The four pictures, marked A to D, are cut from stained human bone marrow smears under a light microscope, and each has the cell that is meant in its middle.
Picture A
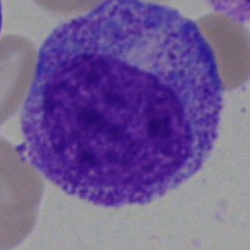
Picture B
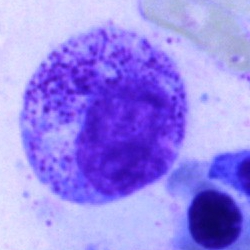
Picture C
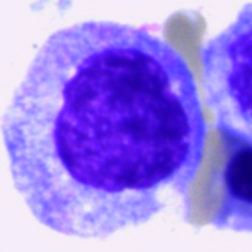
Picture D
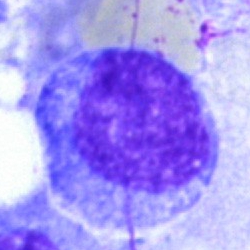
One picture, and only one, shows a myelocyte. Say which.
B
